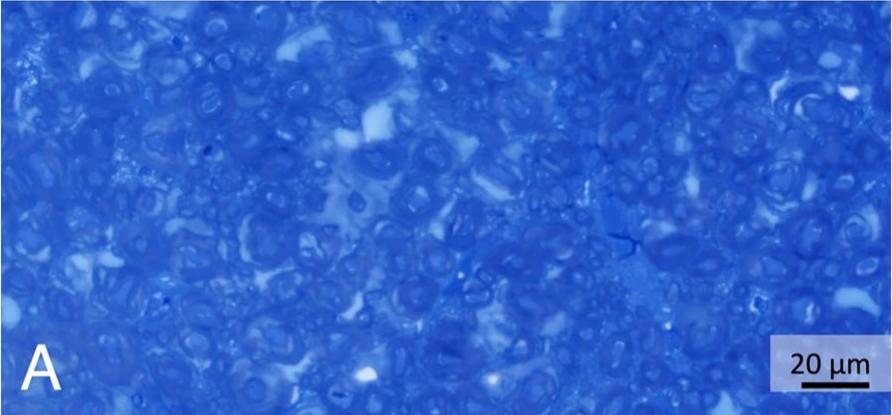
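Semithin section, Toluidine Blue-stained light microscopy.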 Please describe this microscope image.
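Staining has turned the whole field blue. Myelin shows as darker blue rings, and each ring encloses a paler core where the axon lies. The small round profiles lie side by side in a dense, fairly even mosaic. Only small, irregular pale patches interrupt them. At this magnification individual layers of the sheath cannot be resolved, but the ring-and-core pattern repeats regularly across the section.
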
